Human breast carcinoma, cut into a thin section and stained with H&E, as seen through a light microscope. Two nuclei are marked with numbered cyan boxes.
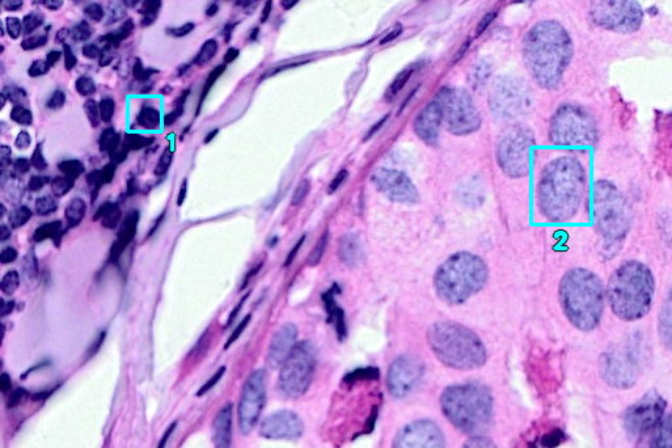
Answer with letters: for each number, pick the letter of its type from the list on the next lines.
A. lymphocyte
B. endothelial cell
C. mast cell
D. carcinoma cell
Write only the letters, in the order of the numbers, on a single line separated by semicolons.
A; D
